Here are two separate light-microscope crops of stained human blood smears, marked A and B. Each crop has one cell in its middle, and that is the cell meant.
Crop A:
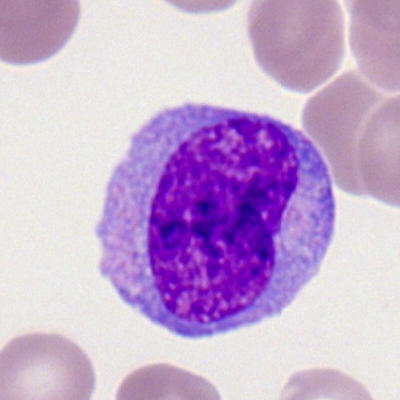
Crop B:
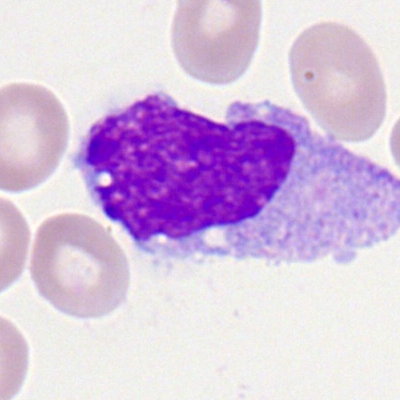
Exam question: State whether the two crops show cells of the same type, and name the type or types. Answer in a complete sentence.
Yes, the cells in the centres of the two crops are monocytes.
